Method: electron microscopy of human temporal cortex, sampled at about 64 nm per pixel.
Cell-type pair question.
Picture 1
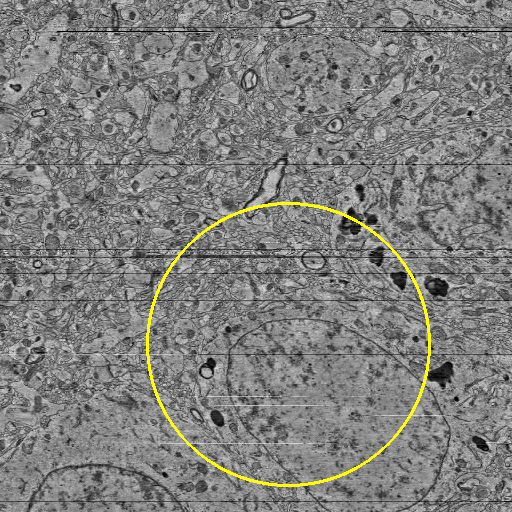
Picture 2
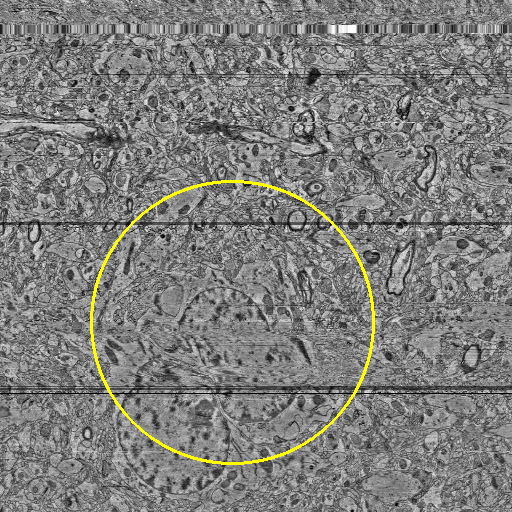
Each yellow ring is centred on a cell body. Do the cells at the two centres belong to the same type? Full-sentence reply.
No, the two cells belong to two types.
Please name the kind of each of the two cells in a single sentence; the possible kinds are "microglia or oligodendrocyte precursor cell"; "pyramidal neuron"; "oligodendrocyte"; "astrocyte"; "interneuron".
In the first picture the ring is centred on a pyramidal neuron, and in the second on an astrocyte.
